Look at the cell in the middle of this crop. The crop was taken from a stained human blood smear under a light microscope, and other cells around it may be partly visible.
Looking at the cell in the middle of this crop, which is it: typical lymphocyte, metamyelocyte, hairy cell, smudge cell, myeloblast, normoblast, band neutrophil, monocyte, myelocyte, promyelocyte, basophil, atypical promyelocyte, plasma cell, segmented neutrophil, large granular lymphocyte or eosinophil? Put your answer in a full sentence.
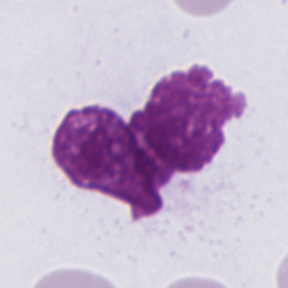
On this slide crop, the central cell is a smudge cell.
